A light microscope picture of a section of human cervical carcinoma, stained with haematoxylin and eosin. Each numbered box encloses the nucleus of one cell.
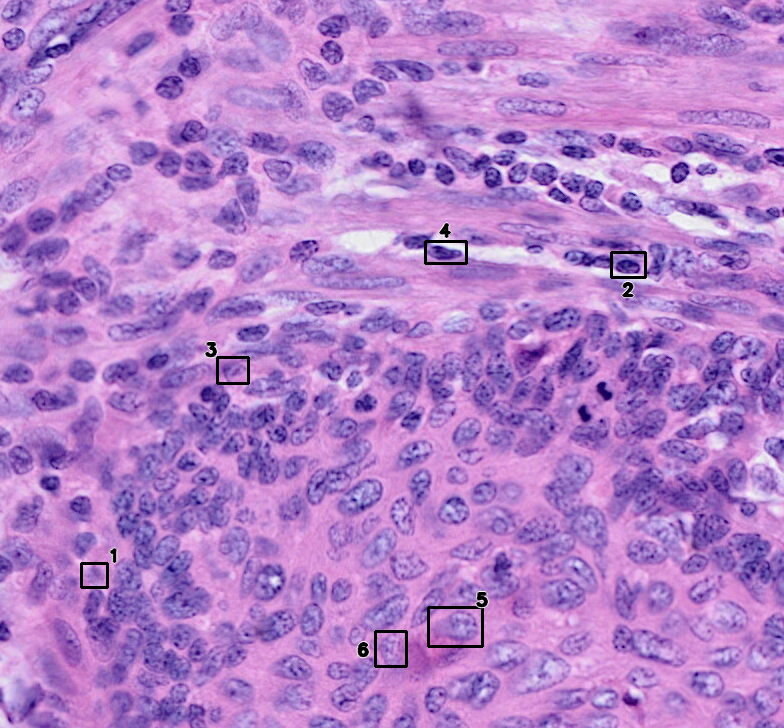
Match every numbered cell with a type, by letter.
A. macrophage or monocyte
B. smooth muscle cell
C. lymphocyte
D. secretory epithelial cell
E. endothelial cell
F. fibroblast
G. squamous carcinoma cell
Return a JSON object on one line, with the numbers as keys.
{"1": "G", "2": "C", "3": "G", "4": "C", "5": "G", "6": "G"}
